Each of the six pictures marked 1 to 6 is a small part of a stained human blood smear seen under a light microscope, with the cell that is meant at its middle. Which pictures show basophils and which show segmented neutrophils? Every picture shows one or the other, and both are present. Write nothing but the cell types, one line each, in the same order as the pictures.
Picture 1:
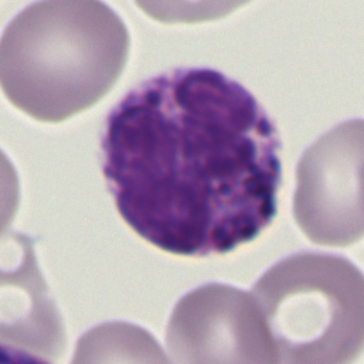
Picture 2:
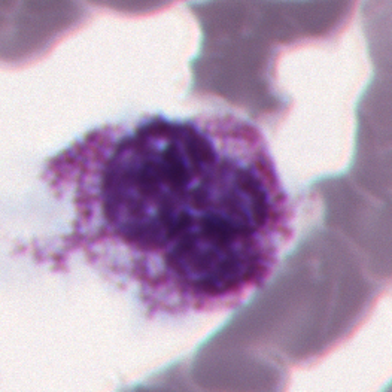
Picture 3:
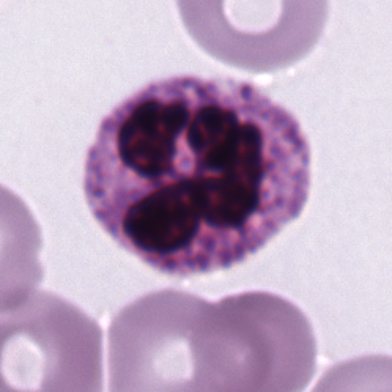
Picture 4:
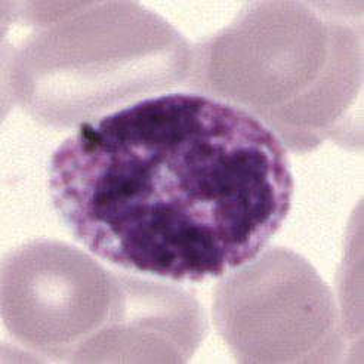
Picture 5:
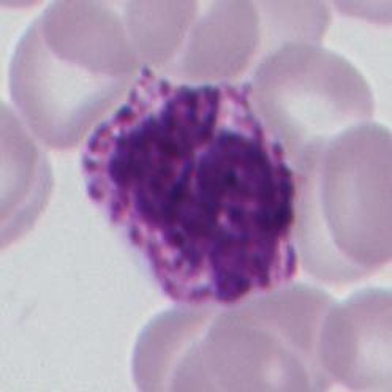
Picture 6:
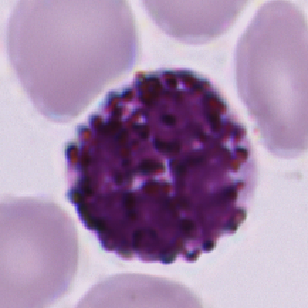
basophil
segmented neutrophil
segmented neutrophil
basophil
basophil
basophil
